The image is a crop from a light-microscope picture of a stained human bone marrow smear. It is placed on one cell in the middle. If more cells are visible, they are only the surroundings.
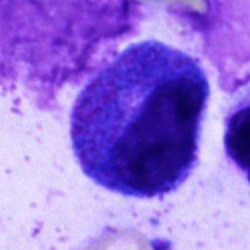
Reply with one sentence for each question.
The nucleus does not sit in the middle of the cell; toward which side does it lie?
Seen from the middle of the cell, the nucleus lies toward the lower right.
